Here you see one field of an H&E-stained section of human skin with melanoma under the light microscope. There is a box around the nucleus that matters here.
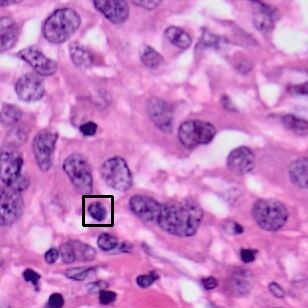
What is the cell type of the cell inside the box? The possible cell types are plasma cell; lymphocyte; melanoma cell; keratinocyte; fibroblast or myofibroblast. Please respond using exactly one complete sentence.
Placed in its cell category, the cell inside the box is a lymphocyte.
